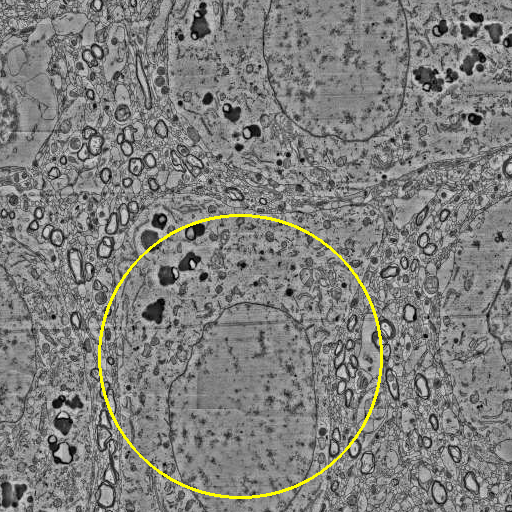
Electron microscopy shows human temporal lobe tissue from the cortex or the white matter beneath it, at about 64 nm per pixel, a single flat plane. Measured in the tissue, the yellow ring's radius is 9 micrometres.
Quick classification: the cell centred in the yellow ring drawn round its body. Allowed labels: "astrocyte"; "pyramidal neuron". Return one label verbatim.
pyramidal neuron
